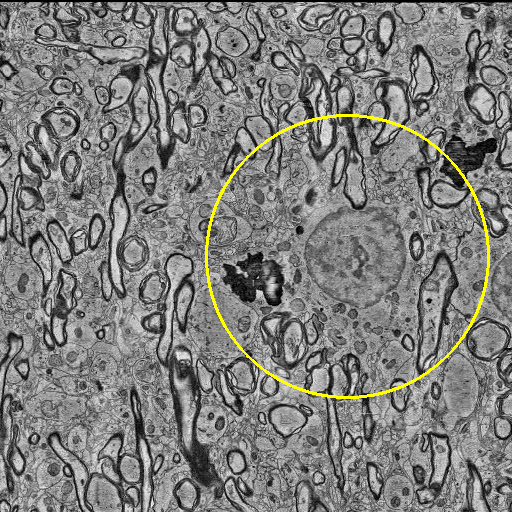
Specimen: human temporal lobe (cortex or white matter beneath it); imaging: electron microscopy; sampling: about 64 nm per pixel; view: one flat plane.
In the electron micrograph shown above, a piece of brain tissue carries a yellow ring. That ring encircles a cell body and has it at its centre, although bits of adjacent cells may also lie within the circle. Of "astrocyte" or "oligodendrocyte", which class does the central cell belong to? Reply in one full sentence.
The cell body at the centre of the yellow ring belongs to an oligodendrocyte.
